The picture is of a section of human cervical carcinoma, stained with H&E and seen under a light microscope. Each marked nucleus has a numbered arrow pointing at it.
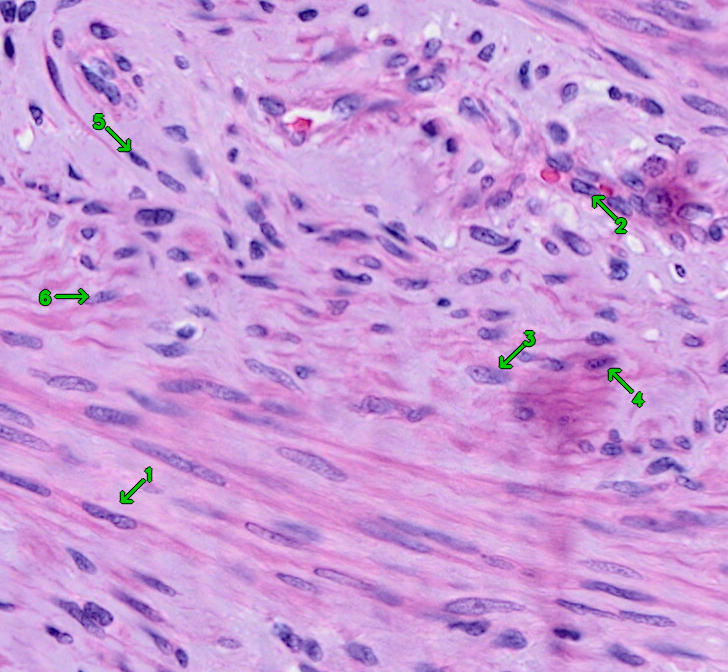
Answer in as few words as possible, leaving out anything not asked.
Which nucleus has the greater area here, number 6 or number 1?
1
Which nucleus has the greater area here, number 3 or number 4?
3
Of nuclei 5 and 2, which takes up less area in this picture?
5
